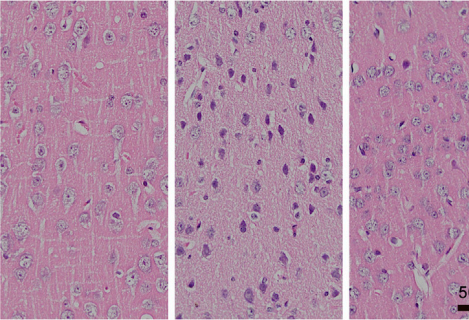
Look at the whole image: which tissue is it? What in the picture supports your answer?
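Pink neuropil with scattered neuronal cell bodies. No layered epithelium or lumen. Thin pale vessel profiles run between the cells.
Answer: cortex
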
